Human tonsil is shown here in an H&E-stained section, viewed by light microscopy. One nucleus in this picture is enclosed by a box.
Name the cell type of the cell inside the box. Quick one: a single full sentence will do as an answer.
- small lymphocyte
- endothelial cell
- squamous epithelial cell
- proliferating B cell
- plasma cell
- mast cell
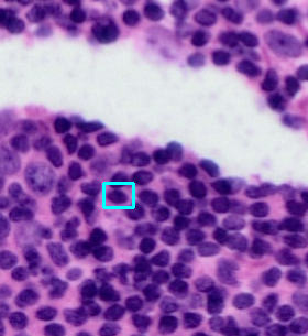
Among the cells in this section, the cell inside the box is a small lymphocyte.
